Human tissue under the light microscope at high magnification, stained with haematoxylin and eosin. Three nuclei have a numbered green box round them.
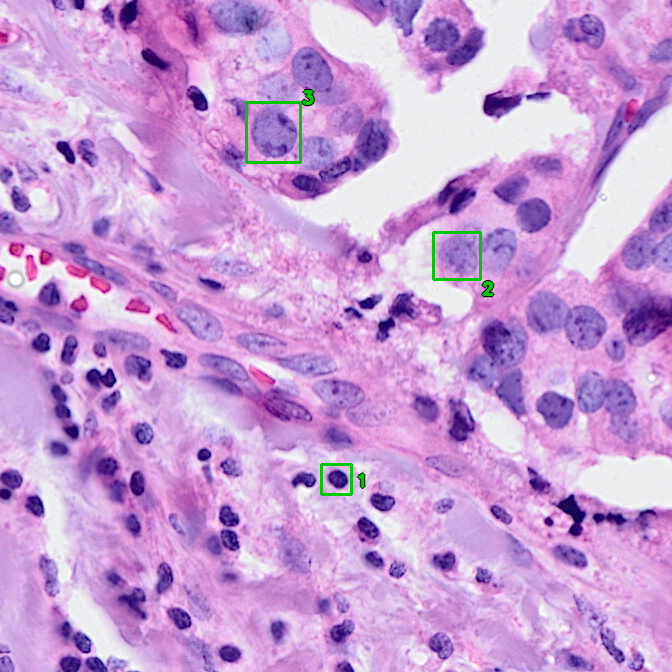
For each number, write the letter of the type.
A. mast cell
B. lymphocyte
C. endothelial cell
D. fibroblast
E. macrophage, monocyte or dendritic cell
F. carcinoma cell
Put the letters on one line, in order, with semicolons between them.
B; F; F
